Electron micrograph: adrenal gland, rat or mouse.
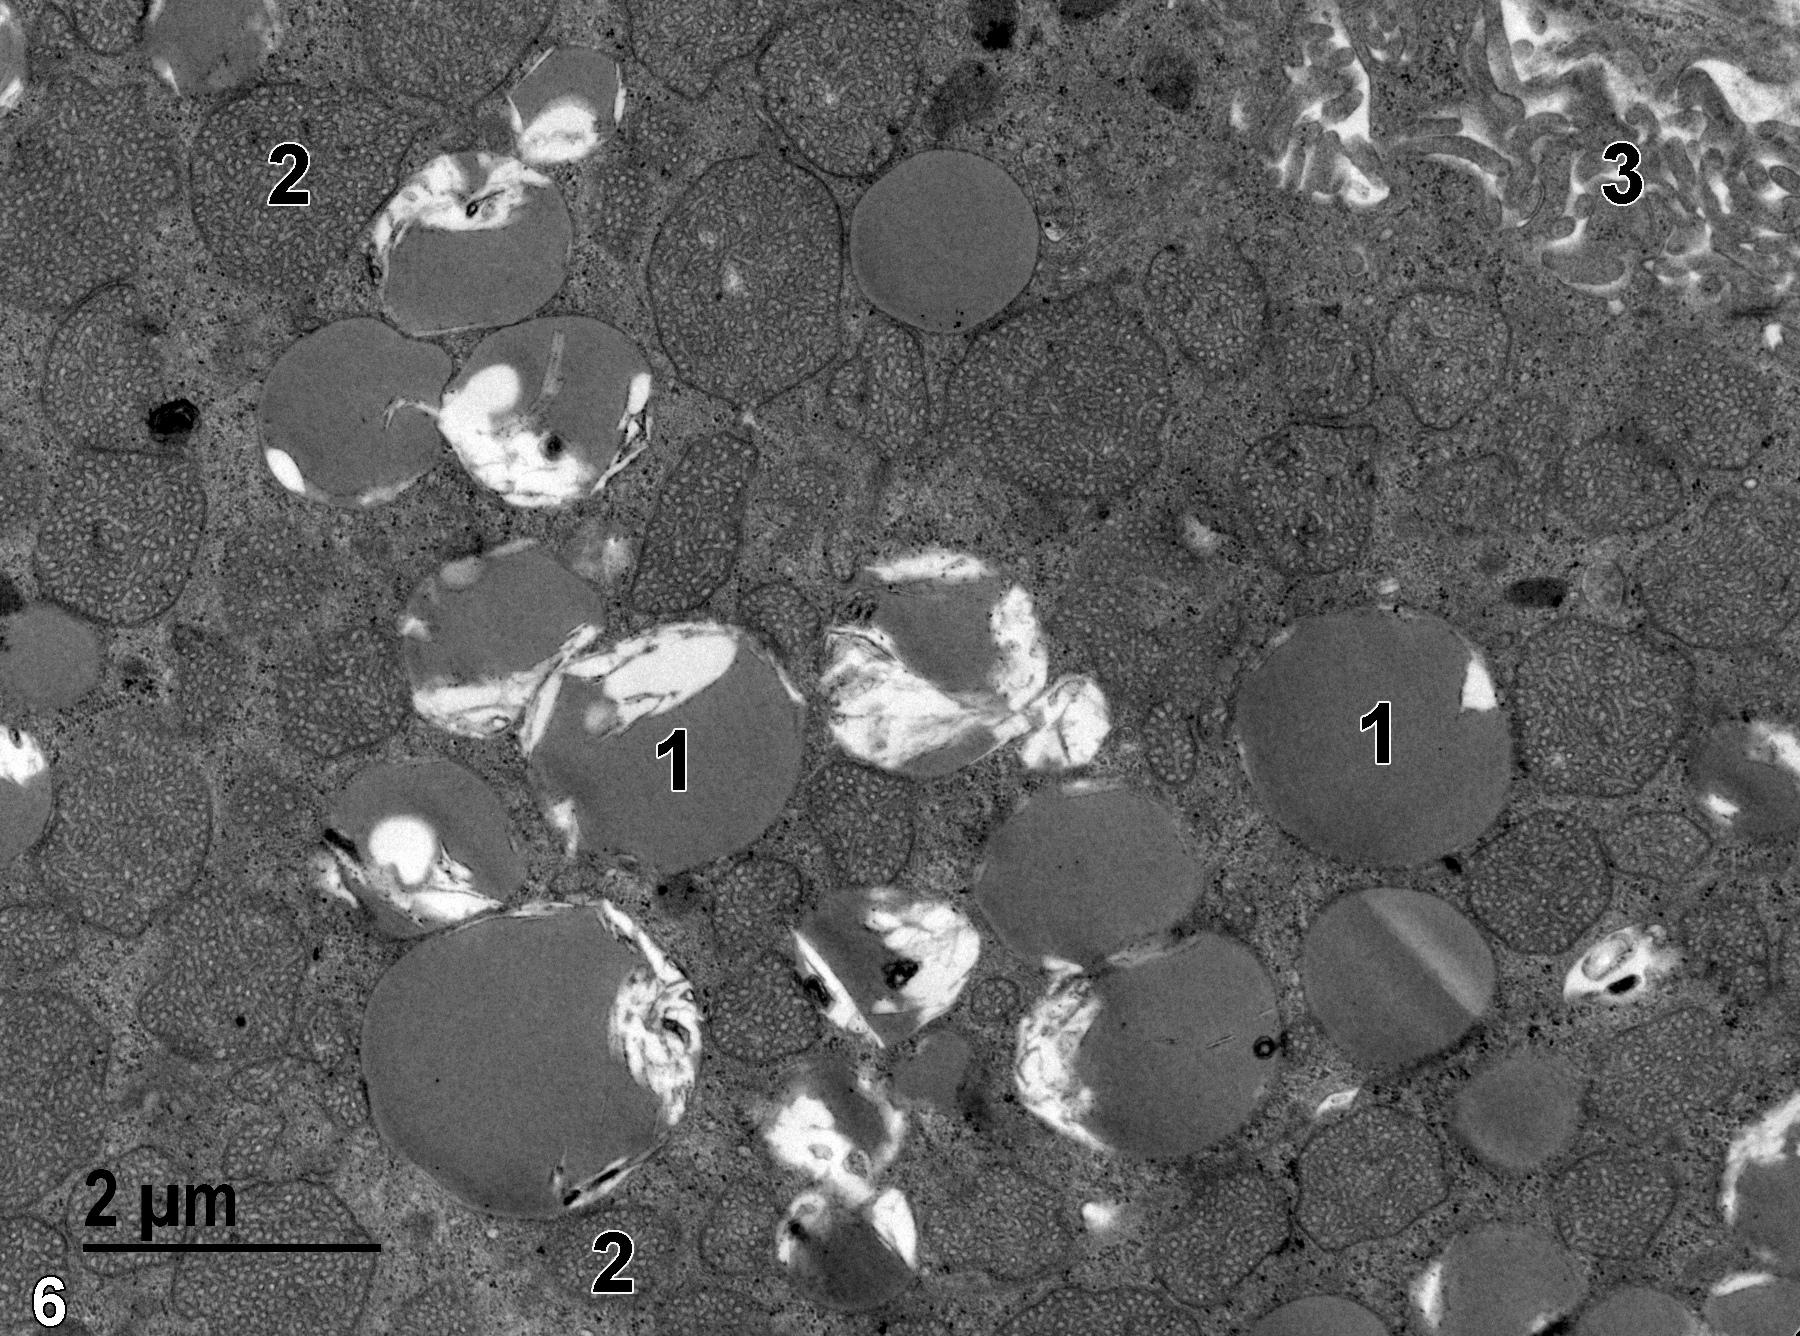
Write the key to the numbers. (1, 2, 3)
(1) lipid droplets
(2) mitochondria
(3) microvilli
